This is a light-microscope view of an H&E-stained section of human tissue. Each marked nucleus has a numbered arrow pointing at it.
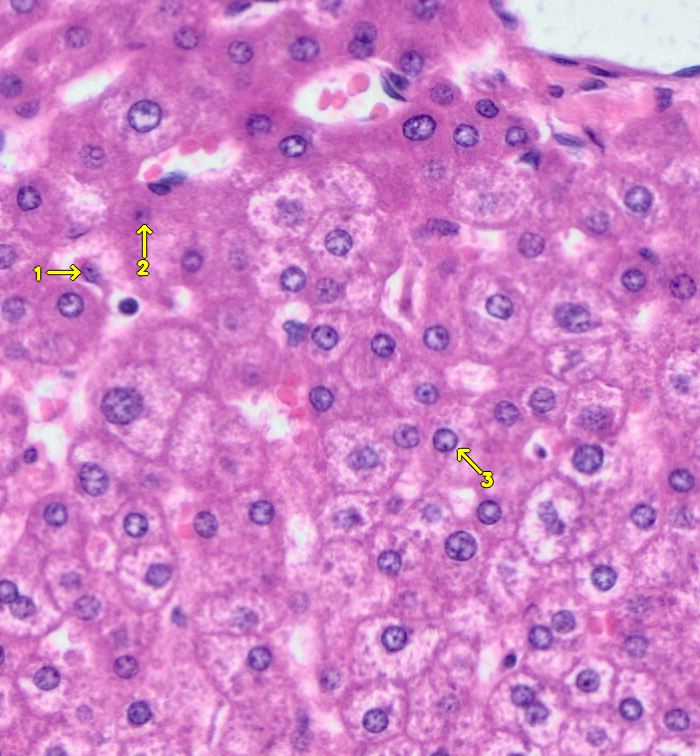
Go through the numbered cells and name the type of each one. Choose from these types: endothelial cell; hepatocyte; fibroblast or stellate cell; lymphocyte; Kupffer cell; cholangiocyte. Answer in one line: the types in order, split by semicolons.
Kupffer cell; hepatocyte; hepatocyte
